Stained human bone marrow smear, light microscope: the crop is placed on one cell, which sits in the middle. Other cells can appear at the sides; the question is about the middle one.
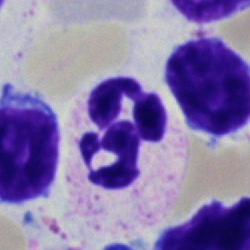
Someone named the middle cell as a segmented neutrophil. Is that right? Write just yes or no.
yes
